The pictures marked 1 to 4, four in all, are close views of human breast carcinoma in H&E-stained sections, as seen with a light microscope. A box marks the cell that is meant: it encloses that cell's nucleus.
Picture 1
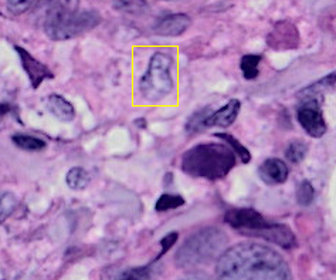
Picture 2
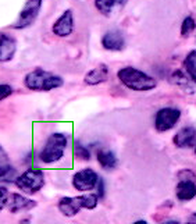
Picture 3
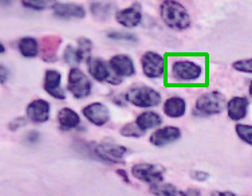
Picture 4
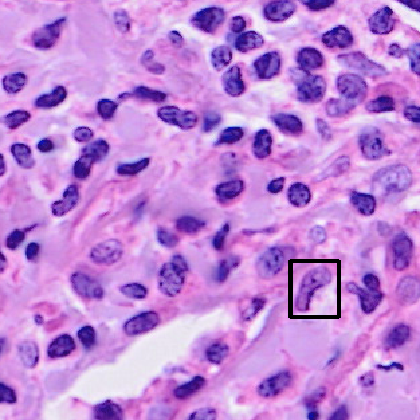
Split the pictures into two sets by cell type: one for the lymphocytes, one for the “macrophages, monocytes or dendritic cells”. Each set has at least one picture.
1: macrophage, monocyte or dendritic cell
2: lymphocyte
3: lymphocyte
4: macrophage, monocyte or dendritic cell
